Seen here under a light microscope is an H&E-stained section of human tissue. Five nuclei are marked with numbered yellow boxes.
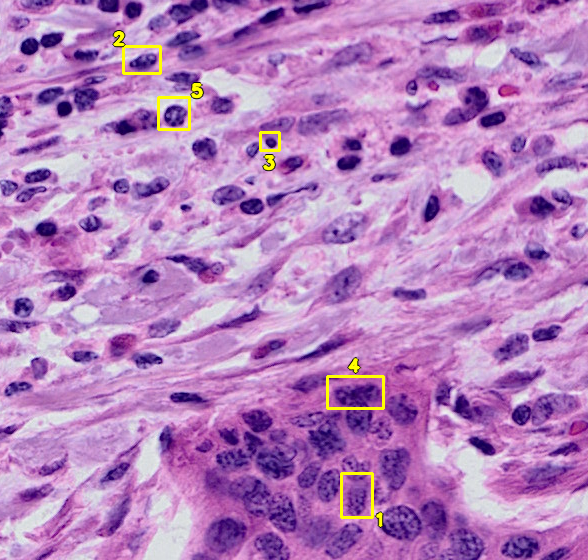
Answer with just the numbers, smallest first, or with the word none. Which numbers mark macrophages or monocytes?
none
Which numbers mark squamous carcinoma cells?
1, 4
